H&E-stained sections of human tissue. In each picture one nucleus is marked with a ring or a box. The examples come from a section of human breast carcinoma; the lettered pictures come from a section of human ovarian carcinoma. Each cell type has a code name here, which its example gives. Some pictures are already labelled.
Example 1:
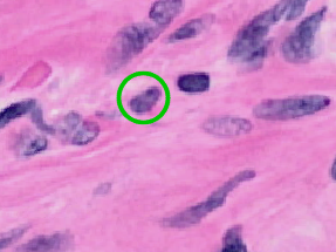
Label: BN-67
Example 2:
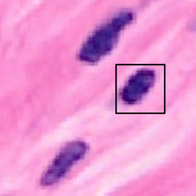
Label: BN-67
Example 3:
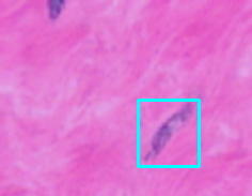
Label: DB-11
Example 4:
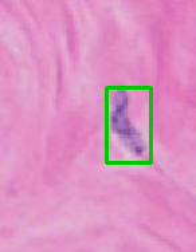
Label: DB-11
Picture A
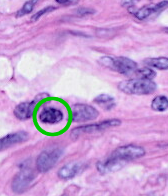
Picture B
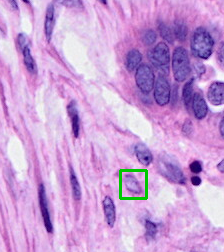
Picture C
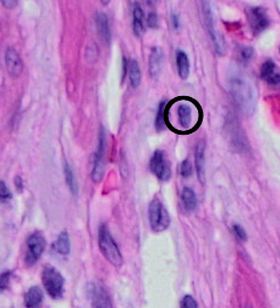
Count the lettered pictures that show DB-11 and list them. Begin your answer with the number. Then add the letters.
Count: 1 (B)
